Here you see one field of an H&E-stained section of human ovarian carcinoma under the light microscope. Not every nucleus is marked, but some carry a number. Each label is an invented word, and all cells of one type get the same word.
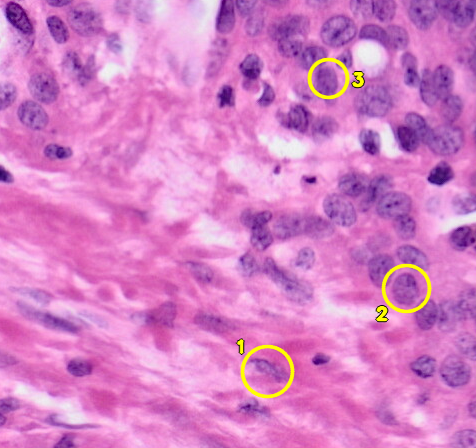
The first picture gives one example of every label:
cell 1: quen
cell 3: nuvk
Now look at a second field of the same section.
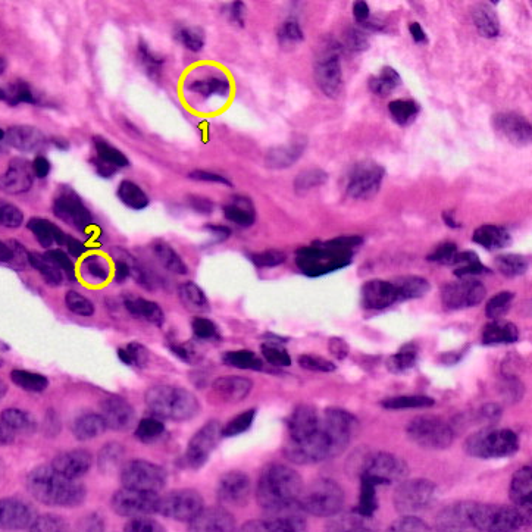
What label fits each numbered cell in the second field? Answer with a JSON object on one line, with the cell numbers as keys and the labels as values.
{"1": "quen", "2": "nuvk"}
